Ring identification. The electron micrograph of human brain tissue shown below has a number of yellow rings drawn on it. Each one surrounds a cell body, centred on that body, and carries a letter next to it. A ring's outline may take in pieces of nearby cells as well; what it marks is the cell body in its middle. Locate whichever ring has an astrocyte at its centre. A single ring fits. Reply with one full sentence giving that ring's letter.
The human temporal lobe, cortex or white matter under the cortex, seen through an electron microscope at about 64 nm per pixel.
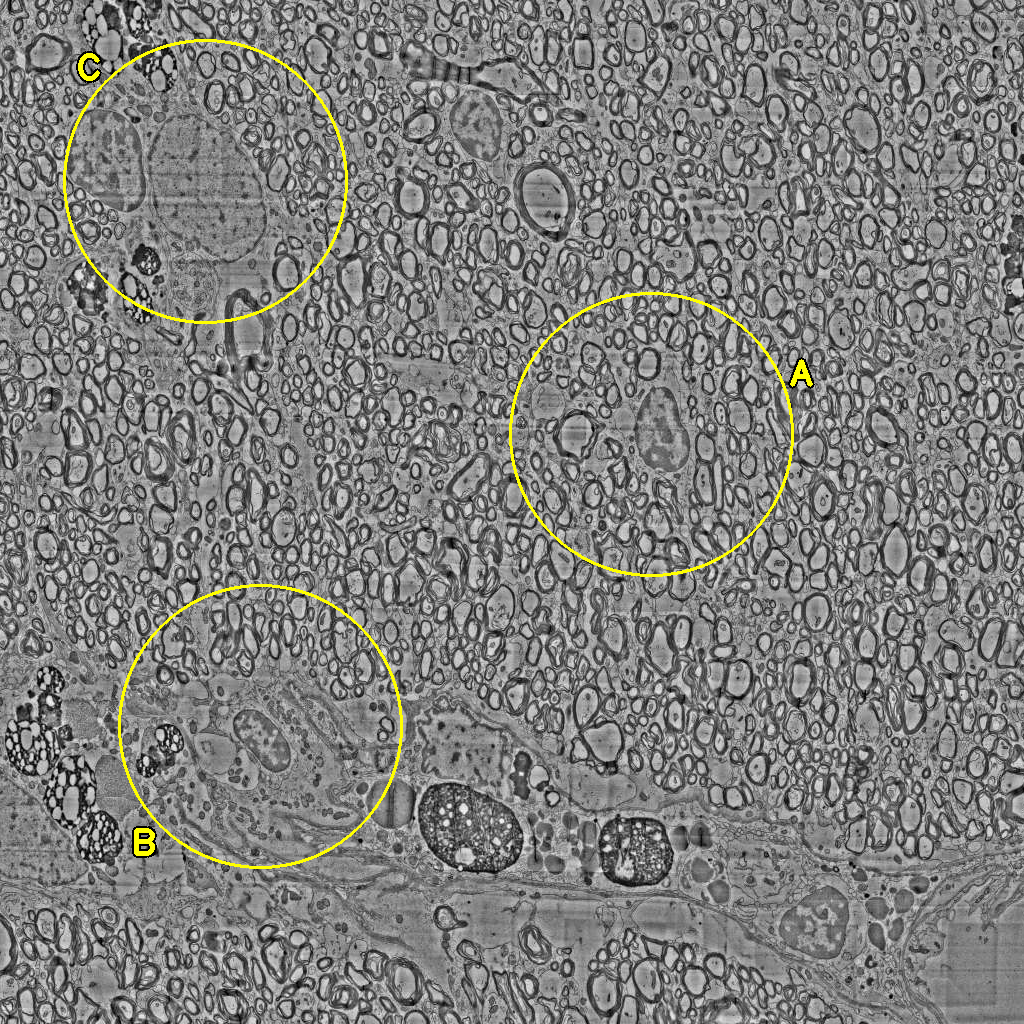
The letter C belongs to the ring centred on a cell of that kind.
